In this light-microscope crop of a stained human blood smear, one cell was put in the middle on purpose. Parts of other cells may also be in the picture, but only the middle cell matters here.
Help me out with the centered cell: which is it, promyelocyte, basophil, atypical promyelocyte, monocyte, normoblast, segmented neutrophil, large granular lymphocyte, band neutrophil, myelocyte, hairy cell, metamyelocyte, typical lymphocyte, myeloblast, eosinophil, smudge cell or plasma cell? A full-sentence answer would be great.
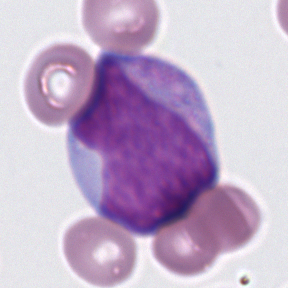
Regarding the central cell, it is an atypical promyelocyte.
